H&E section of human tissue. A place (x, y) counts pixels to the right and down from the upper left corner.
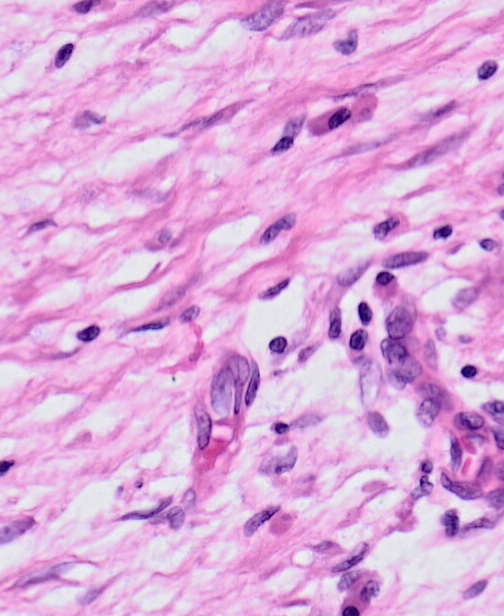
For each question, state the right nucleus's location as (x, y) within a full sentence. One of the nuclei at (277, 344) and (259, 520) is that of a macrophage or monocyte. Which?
The nucleus at (259, 520) is part of a macrophage or monocyte, while the other is not.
